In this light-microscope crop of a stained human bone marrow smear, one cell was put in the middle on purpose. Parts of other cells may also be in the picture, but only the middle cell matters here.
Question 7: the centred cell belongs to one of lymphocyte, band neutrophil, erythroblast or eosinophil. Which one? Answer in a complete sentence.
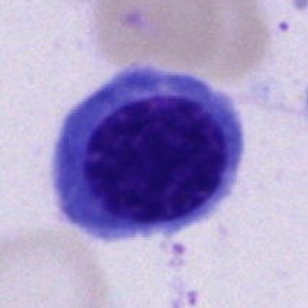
The cell positioned in the middle of the field is an erythroblast.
